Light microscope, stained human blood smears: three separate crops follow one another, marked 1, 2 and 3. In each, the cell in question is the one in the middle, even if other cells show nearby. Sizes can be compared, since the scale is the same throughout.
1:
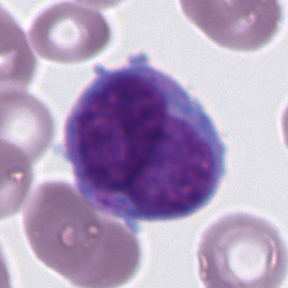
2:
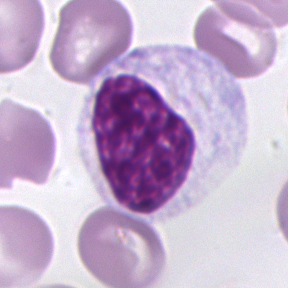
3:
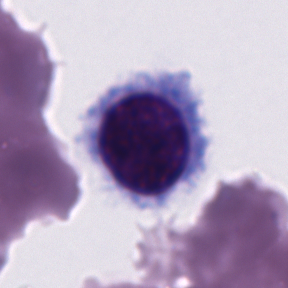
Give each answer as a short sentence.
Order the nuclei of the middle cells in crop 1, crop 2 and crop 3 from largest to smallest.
From the largest down, the order is 1, 2, 3.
